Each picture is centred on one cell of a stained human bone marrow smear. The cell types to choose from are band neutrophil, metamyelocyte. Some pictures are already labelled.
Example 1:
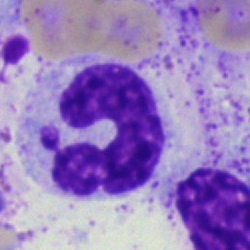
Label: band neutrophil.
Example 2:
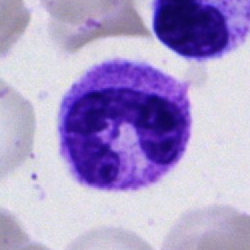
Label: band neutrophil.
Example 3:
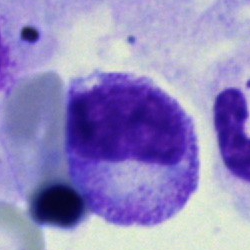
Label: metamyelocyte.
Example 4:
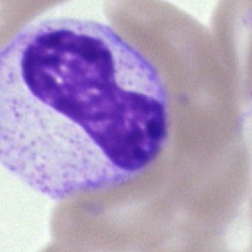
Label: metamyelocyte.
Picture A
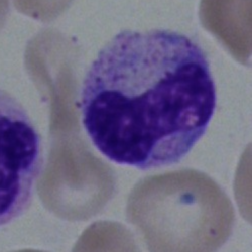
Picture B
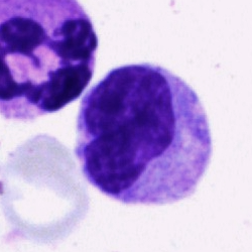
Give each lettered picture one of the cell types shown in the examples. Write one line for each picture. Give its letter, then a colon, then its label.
A: band neutrophil.
B: metamyelocyte.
